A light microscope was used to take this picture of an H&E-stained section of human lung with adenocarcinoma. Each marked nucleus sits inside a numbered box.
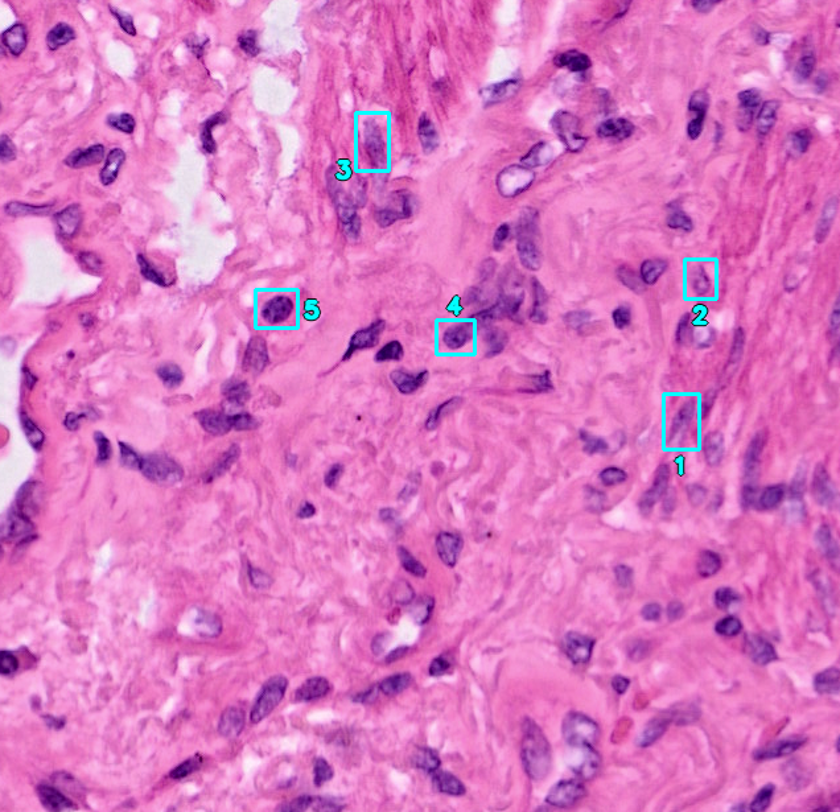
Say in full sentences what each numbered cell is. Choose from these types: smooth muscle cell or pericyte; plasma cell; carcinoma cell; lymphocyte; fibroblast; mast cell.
Cells 1, 2 and 3 are smooth muscle cells or pericytes. Cell 4 is a lymphocyte. Cell 5 is a mast cell.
